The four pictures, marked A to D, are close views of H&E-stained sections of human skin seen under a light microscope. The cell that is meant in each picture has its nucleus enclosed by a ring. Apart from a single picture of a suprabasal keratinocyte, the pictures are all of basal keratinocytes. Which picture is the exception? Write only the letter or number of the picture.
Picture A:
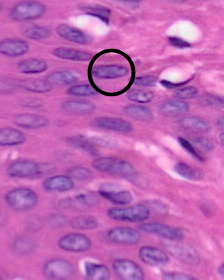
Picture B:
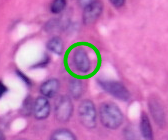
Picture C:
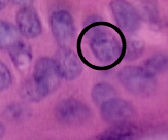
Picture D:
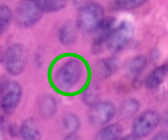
D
